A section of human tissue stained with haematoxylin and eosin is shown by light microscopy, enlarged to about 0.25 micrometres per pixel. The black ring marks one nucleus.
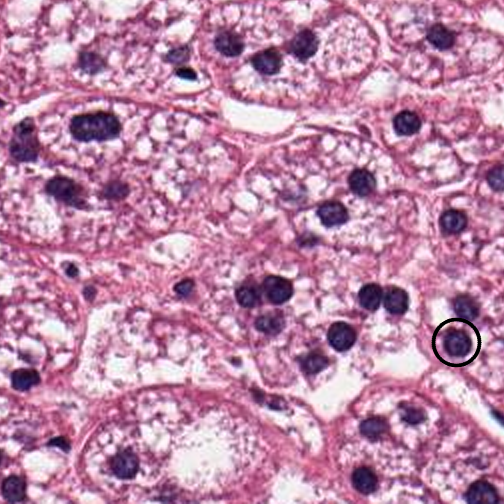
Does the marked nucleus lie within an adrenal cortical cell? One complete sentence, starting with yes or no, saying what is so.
Yes, the marked nucleus is the nucleus of an adrenal cortical cell.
